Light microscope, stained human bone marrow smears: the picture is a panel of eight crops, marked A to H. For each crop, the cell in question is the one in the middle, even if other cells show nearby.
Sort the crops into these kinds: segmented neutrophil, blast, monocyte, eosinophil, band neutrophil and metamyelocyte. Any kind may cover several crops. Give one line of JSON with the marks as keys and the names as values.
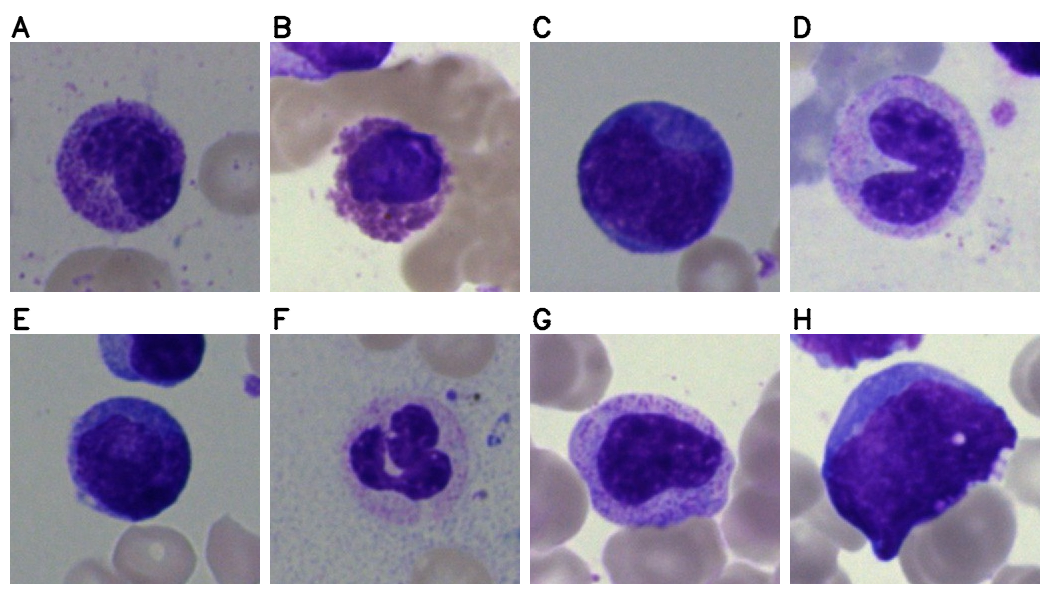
{"A": "metamyelocyte", "B": "eosinophil", "C": "blast", "D": "band neutrophil", "E": "blast", "F": "segmented neutrophil", "G": "metamyelocyte", "H": "blast"}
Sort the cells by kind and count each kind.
blast: 3
metamyelocyte: 2
eosinophil: 1
band neutrophil: 1
segmented neutrophil: 1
